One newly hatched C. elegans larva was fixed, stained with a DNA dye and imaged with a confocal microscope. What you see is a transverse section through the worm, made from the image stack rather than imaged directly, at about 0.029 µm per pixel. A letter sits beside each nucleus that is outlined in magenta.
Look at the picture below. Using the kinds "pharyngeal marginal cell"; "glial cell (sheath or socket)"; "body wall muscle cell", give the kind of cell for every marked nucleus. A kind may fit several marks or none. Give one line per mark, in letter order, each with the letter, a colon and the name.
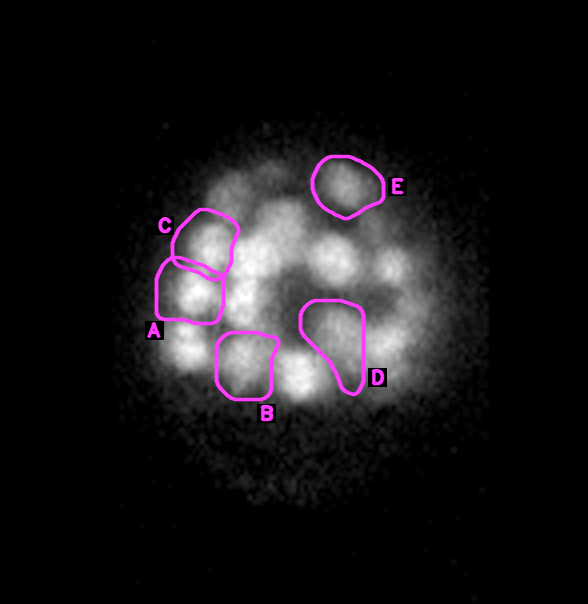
A: glial cell (sheath or socket)
B: pharyngeal marginal cell
C: glial cell (sheath or socket)
D: pharyngeal marginal cell
E: body wall muscle cell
